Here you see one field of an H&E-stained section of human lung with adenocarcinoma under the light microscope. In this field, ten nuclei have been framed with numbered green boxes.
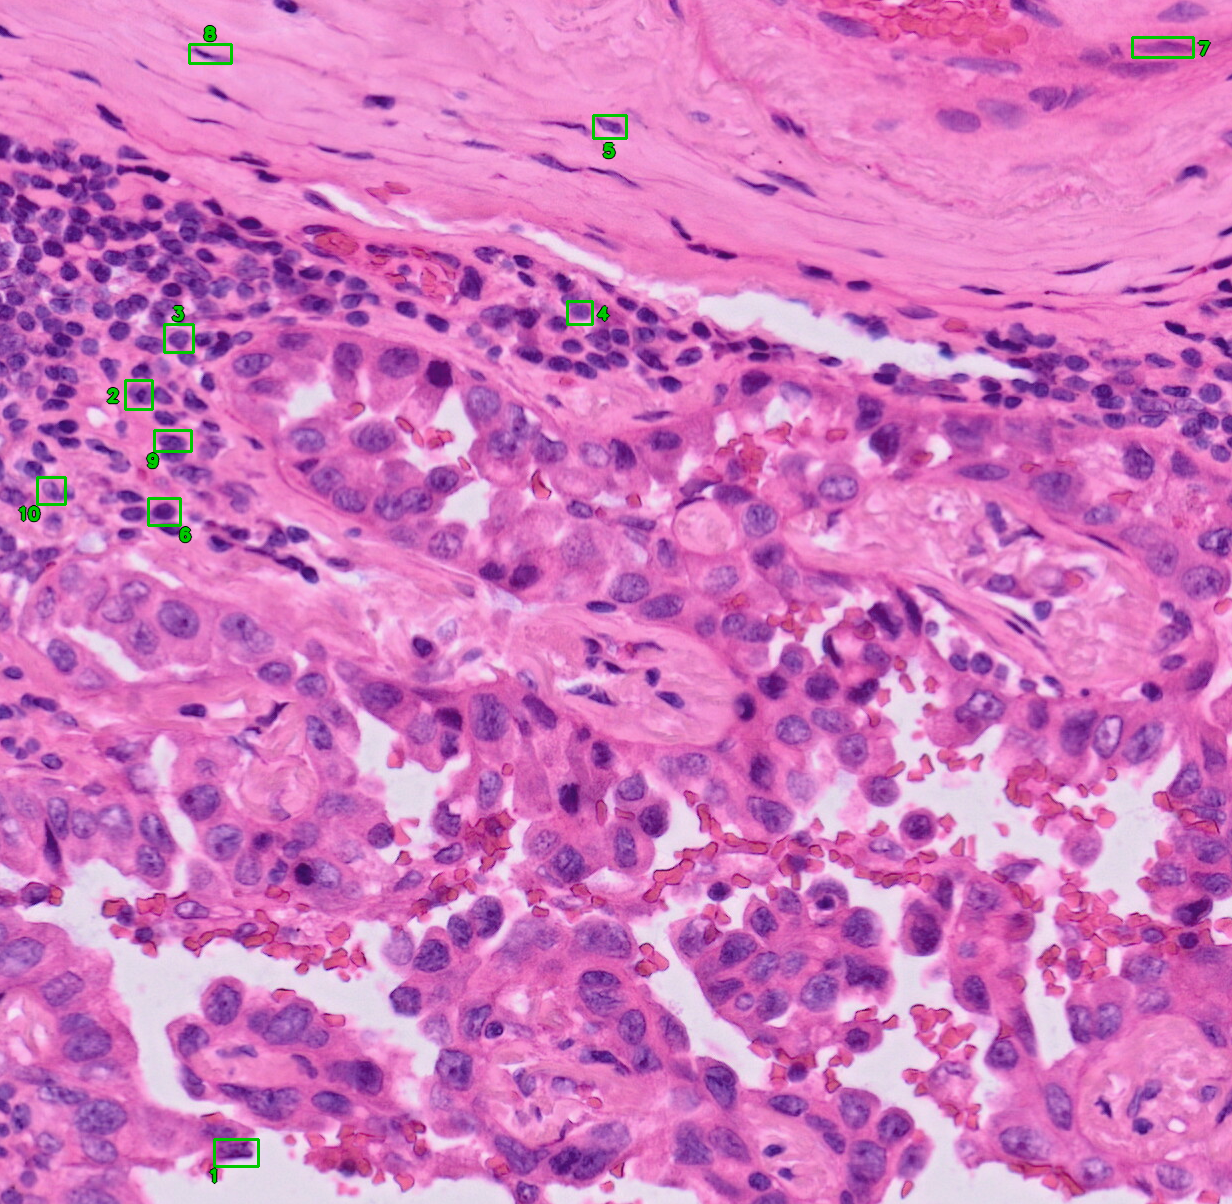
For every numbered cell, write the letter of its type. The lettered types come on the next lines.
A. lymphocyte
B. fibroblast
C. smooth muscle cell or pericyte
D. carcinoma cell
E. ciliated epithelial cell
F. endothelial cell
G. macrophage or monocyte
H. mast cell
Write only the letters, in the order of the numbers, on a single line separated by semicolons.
D; A; A; A; B; A; C; B; A; A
